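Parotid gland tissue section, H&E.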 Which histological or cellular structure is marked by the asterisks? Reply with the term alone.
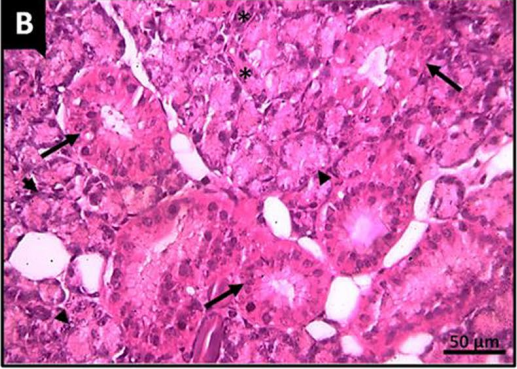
Intercalated ducts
